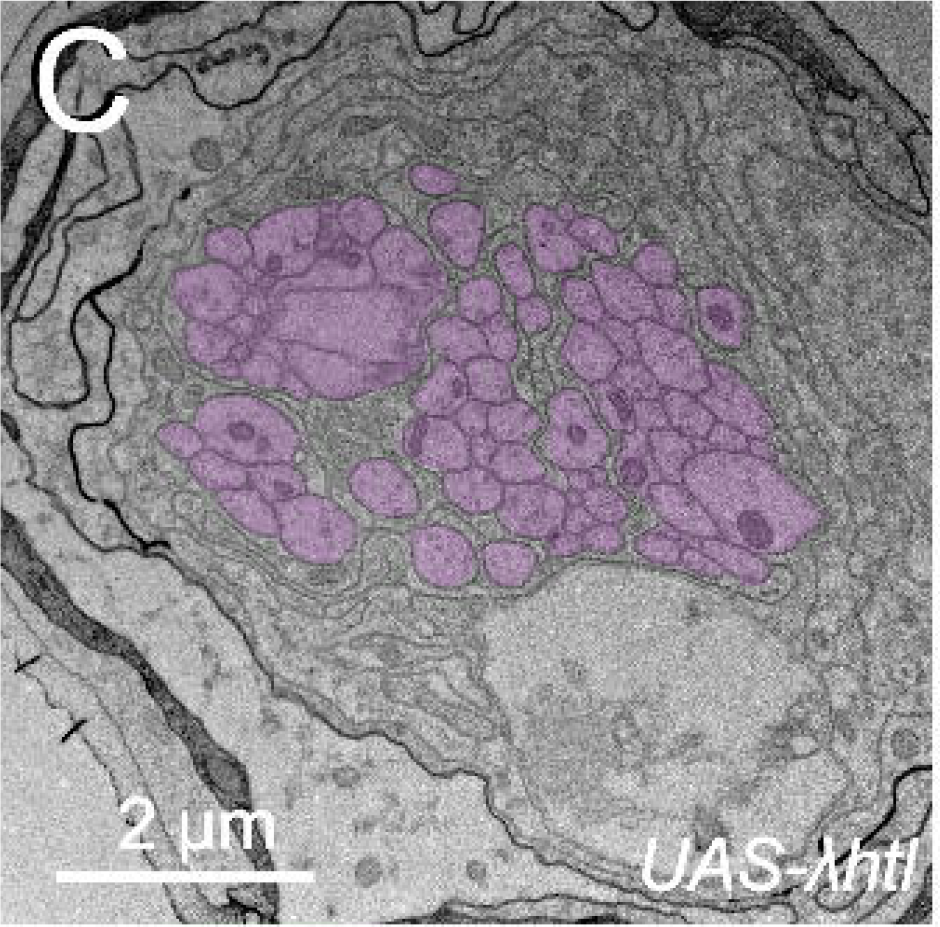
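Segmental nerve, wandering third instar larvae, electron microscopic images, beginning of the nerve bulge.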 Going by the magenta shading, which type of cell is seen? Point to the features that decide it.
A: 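Magenta-shaded round profiles of varied size clustered together. Some contain small mitochondria. They are surrounded by thin layered membranes.
Axons.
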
